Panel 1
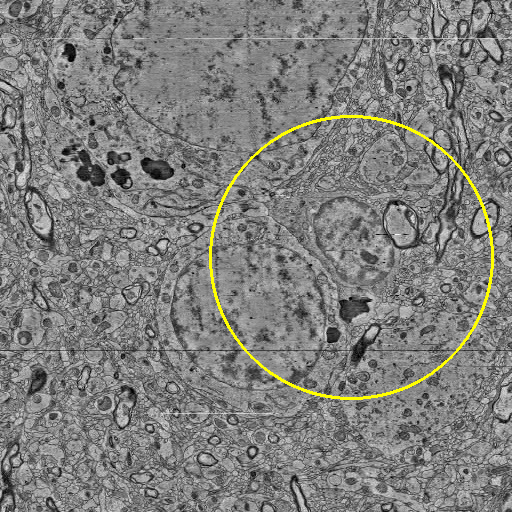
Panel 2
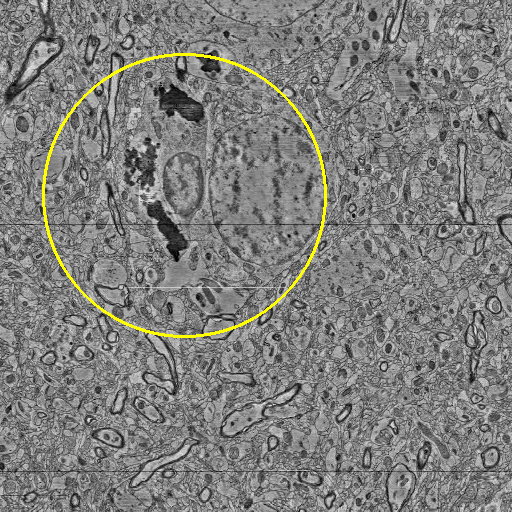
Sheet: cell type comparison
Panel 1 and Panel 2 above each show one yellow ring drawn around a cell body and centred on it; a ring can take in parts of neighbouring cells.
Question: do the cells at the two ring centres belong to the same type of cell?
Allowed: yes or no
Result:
yes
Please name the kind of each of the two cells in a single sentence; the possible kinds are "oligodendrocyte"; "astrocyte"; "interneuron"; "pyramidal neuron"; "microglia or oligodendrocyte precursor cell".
The ring centre holds a microglial cell or oligodendrocyte precursor cell in each of the two pictures.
